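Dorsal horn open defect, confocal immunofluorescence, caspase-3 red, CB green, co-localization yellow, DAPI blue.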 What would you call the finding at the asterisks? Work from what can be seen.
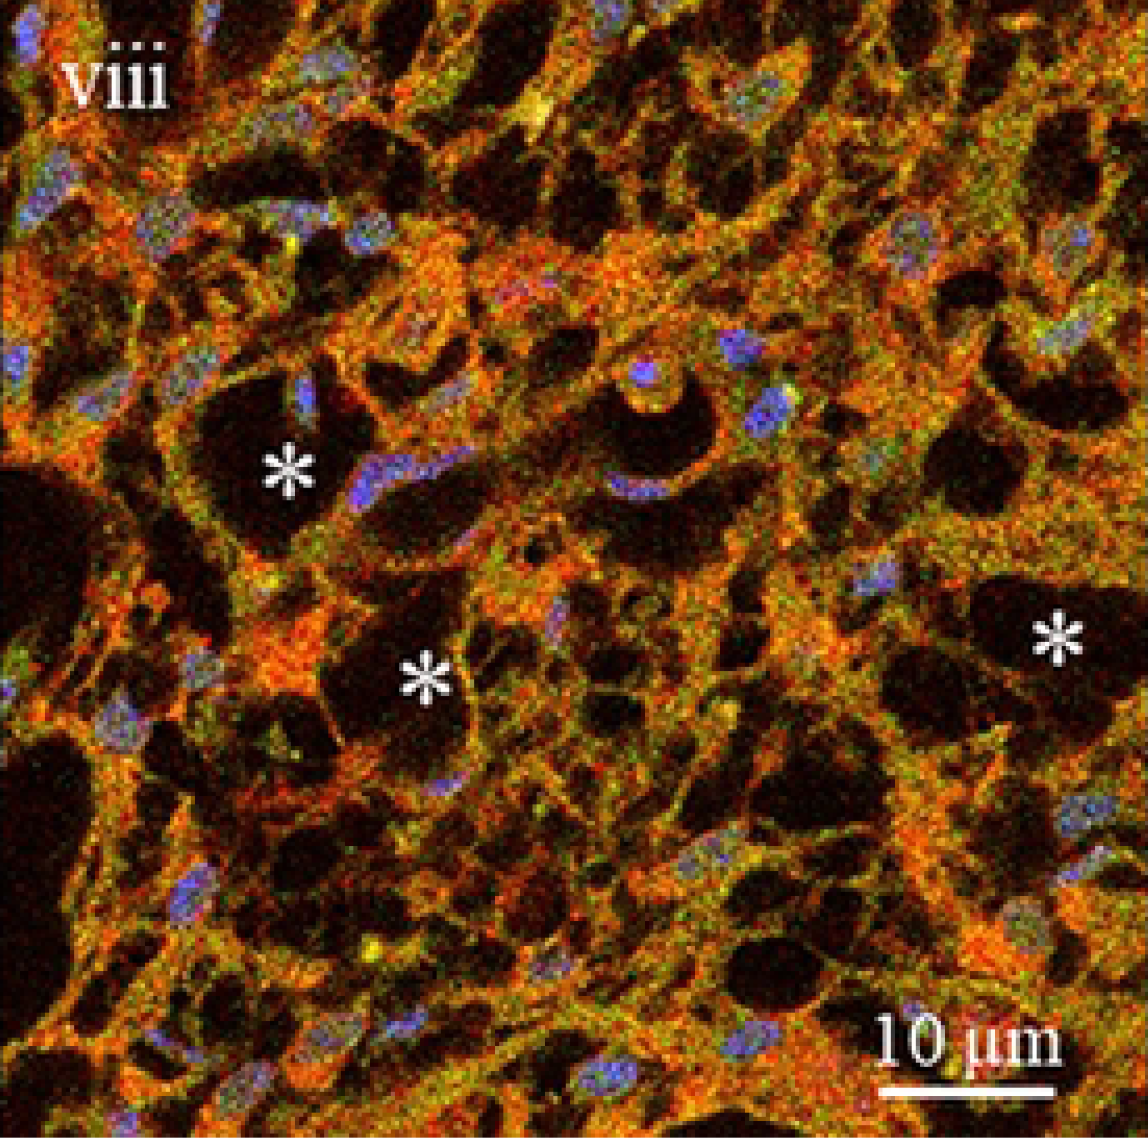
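The asterisks lie in dark, empty, irregular spaces. These spaces are rimmed by orange-stained tissue. The tissue around them looks broken up into a coarse meshwork.
Answer: damaged structures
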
